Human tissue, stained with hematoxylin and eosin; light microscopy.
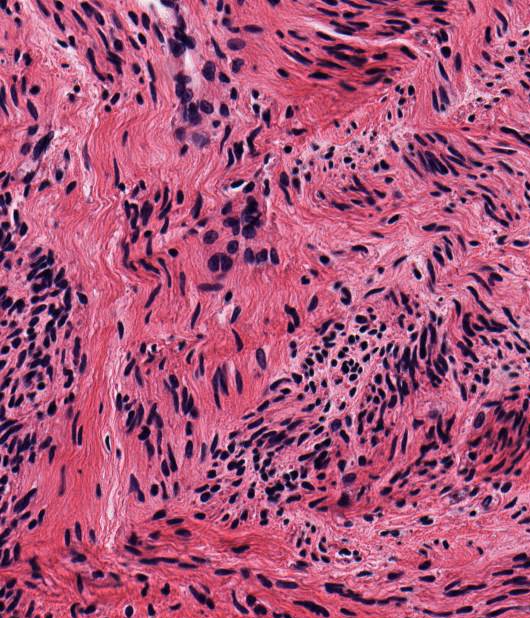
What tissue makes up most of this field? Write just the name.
smooth muscle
